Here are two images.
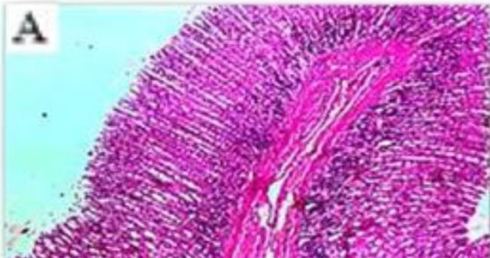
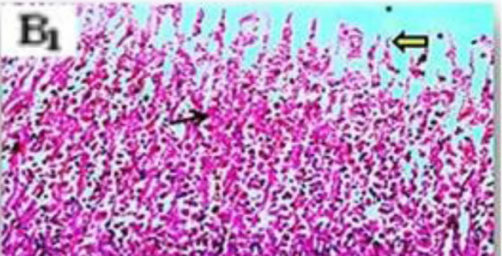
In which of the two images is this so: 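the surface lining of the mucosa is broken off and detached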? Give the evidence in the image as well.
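Second image: the surface epithelium is fragmented into loose, separated strands. First image: the mucosal surface is continuous with orderly columns up to the edge.
Conclusion: the second image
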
